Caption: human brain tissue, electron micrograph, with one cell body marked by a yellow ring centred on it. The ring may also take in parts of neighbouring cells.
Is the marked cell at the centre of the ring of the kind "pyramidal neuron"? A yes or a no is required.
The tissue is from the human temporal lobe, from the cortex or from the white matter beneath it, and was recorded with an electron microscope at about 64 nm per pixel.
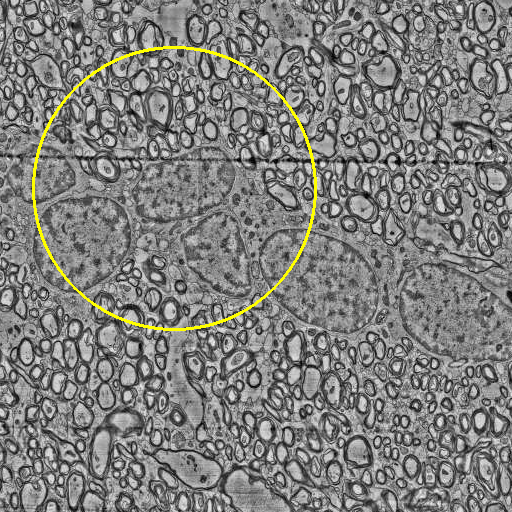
no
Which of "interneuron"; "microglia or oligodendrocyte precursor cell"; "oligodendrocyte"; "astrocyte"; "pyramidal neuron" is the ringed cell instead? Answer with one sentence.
The ringed cell in this picture is, instead, an oligodendrocyte.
